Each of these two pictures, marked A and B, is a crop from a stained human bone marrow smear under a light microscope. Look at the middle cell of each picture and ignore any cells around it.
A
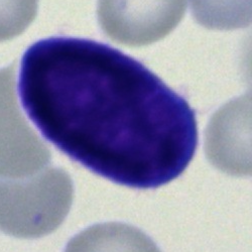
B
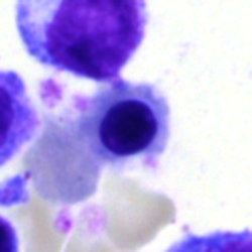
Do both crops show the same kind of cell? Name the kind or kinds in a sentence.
No, shown in crop A is a blast, and shown in crop B is an erythroblast.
